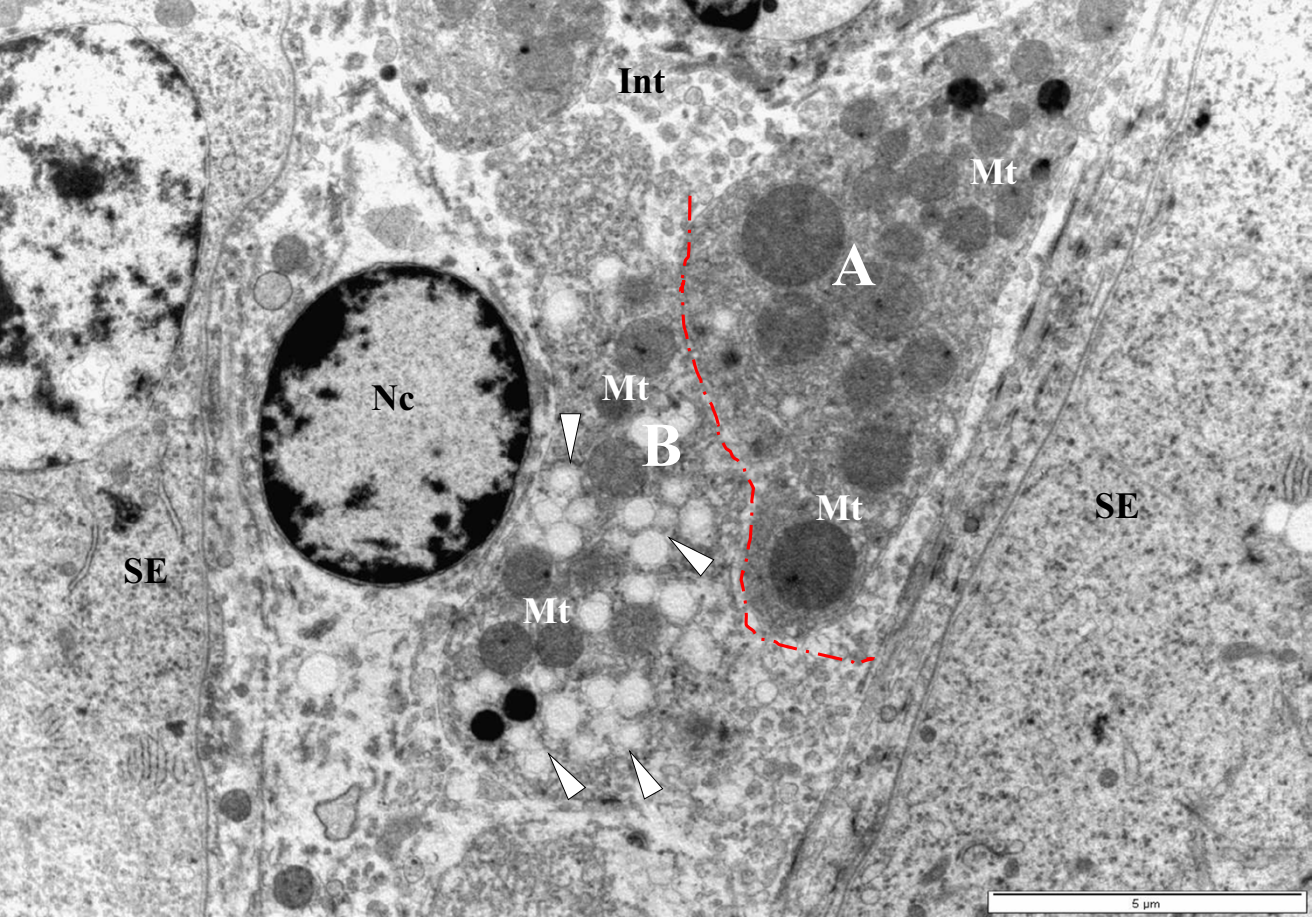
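This electron micrograph shows two adjacent Leydig cells in the interstitium of the testis, lying between two stretches of seminiferous epithelium at the sides. A red dashed line separates the two cells. The cell on the left has an oval nucleus with dense heterochromatin clumped along the nuclear envelope, and its cytoplasm is crowded with numerous small, pale, round lipid droplets. These droplets lie among fewer mitochondria, which also vary in size, and some very dark round bodies. Bundles of fine fibrous material run along the border of the interstitium next to the epithelium on the right.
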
